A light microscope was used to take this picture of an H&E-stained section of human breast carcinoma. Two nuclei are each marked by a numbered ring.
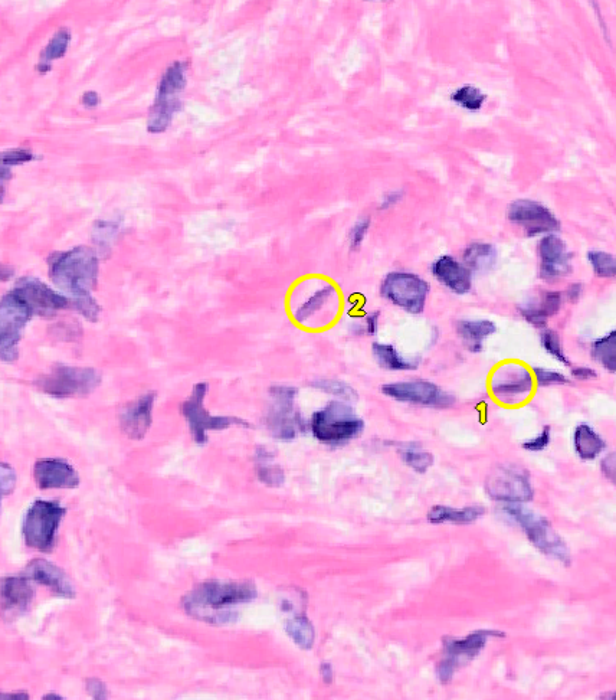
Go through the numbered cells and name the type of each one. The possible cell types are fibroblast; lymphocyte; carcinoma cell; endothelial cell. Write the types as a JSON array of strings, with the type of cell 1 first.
["endothelial cell", "fibroblast"]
